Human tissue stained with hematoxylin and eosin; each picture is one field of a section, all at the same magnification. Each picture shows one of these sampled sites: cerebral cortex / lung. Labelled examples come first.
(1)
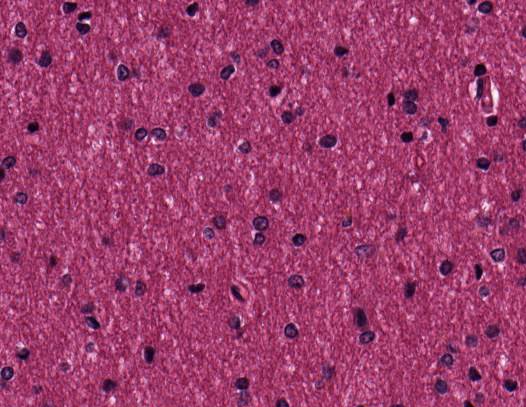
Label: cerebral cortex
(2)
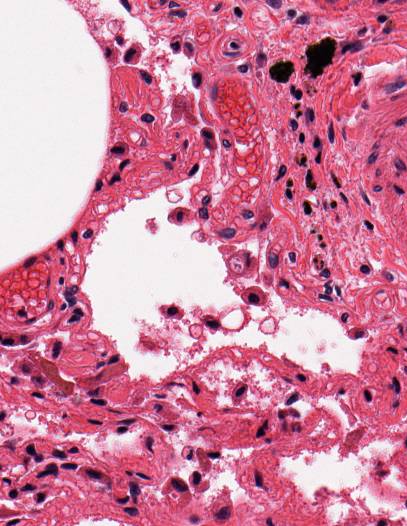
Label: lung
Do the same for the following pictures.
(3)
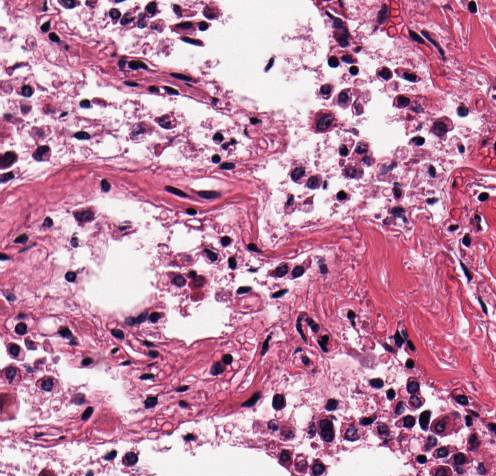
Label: lung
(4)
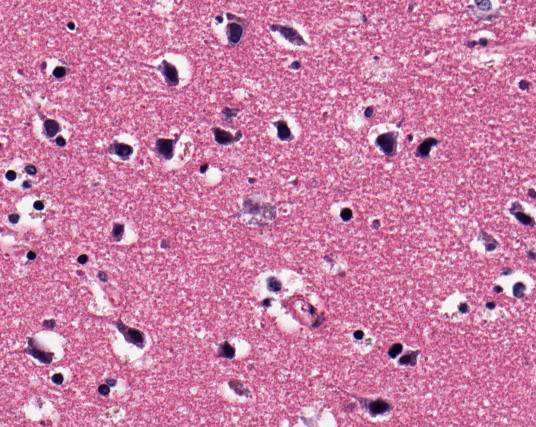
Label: cerebral cortex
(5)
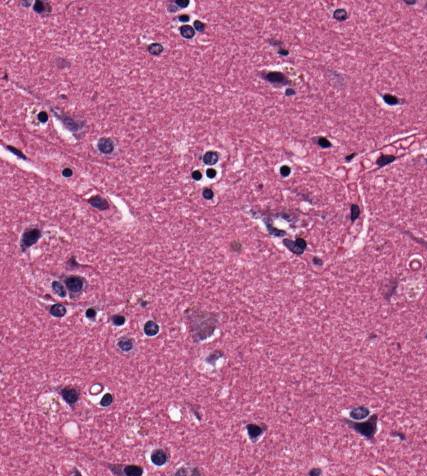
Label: cerebral cortex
